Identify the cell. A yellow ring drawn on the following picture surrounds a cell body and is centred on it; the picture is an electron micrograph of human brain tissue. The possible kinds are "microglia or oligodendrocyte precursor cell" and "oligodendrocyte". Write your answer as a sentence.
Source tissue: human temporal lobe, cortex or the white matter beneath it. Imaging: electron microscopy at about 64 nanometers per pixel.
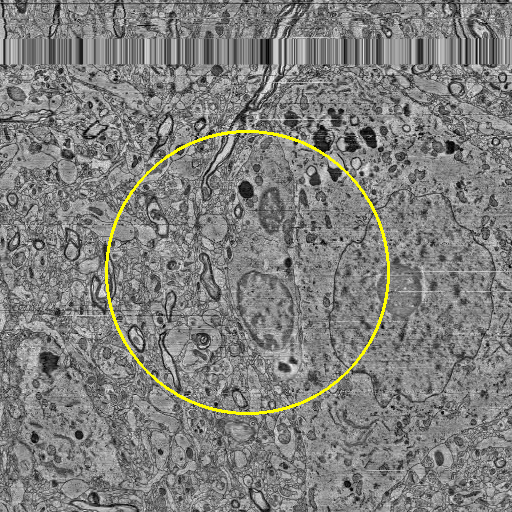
The cell identified by the ring is an oligodendrocyte.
